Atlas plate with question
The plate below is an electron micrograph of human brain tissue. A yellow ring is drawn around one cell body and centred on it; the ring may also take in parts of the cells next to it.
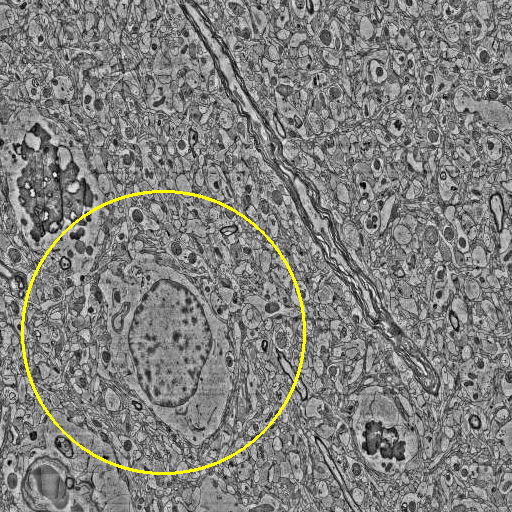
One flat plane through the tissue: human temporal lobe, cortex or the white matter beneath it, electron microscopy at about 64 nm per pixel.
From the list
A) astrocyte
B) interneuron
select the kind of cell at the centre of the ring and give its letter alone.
A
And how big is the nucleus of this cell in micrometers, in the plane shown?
The nucleus comes to approximately 8 by 5 micrometres and is clearly longer than it is wide in this plane.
